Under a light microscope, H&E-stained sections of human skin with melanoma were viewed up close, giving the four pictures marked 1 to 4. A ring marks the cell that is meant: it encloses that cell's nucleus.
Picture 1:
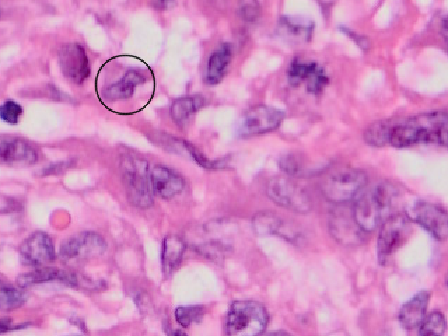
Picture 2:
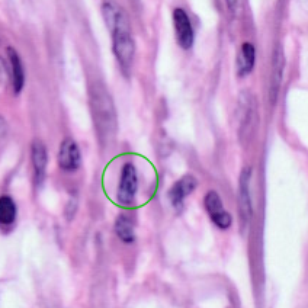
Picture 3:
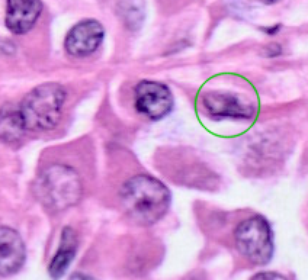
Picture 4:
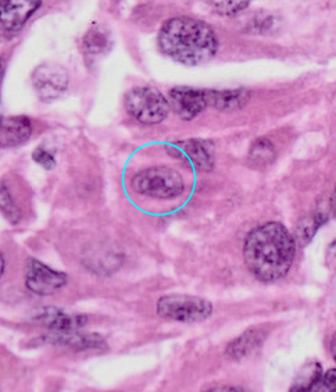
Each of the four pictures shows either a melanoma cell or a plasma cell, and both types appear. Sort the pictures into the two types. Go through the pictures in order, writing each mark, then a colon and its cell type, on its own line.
1: melanoma cell
2: plasma cell
3: melanoma cell
4: melanoma cell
